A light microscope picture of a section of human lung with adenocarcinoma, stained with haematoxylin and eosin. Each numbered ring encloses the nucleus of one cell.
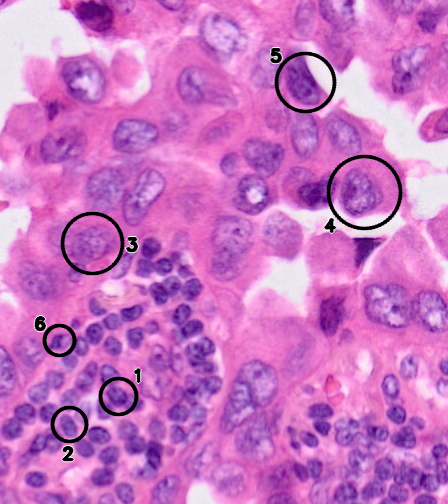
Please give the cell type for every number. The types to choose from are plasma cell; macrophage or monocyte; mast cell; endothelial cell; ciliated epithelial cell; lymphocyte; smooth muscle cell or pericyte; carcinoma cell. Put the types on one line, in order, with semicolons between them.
lymphocyte; lymphocyte; carcinoma cell; carcinoma cell; carcinoma cell; lymphocyte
